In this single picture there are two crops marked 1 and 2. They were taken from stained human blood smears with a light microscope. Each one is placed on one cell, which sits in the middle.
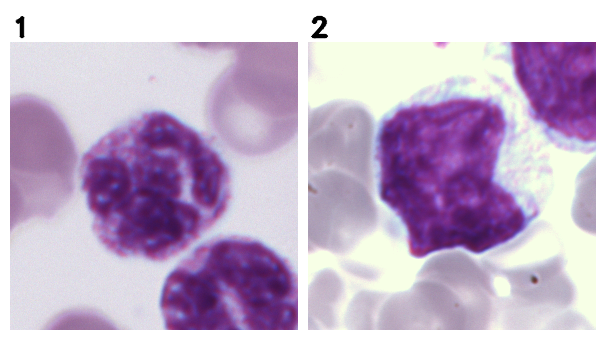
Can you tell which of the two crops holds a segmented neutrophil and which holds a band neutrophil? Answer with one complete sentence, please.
Crop 1 is a segmented neutrophil, and crop 2 is a band neutrophil.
